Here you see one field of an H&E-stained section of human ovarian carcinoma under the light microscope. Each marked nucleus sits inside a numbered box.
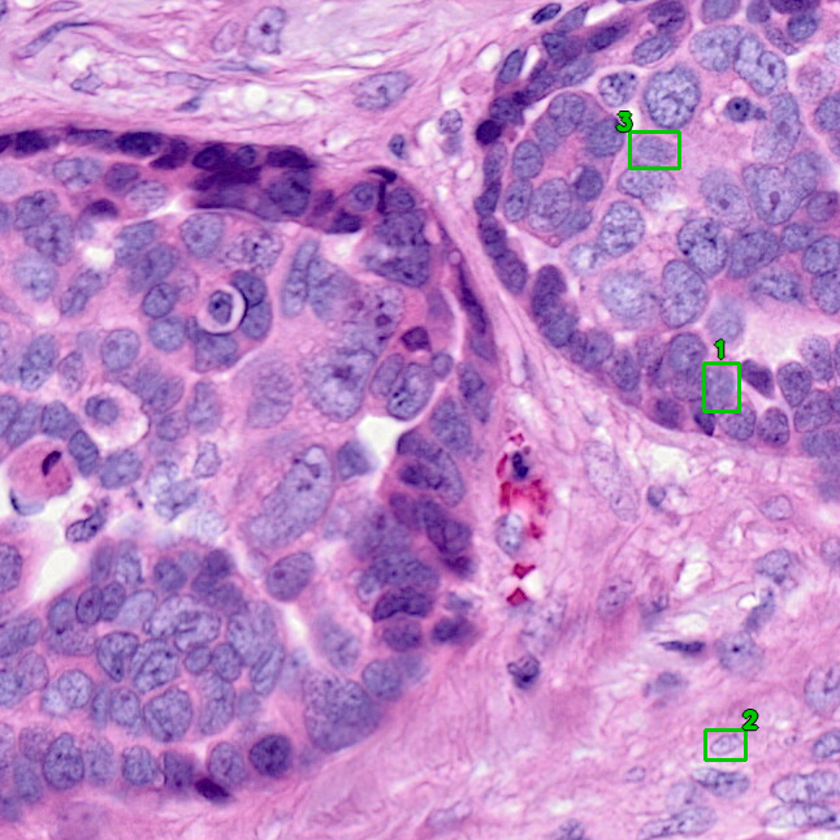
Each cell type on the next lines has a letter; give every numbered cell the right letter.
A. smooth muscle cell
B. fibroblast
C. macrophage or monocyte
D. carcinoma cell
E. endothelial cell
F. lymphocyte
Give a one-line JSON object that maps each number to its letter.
{"1": "D", "2": "B", "3": "D"}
